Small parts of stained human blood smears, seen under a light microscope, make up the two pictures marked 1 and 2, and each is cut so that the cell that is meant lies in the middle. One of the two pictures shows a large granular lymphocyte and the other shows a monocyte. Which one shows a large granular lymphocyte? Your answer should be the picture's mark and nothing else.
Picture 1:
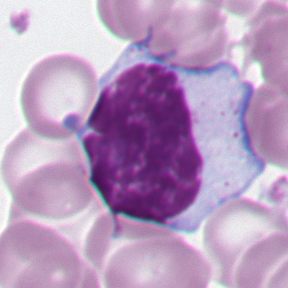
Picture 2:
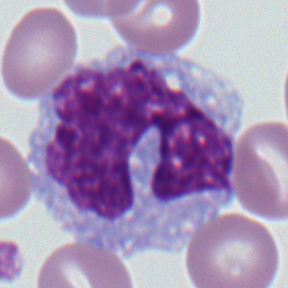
1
